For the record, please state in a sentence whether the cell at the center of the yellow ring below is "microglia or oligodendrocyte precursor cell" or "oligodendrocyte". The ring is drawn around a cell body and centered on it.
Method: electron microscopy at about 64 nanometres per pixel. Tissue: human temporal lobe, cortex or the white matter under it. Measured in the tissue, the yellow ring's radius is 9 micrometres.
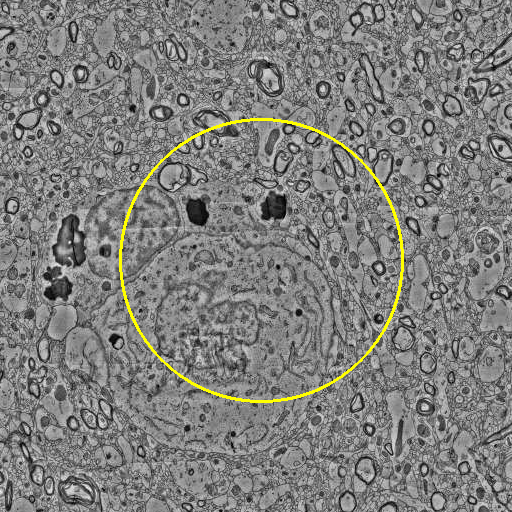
The cell at the ring's center is an oligodendrocyte.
